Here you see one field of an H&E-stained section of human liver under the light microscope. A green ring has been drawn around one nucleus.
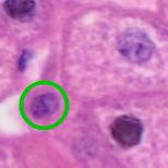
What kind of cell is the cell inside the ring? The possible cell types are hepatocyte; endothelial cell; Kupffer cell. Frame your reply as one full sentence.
On this particular slide, the cell inside the ring is a Kupffer cell.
